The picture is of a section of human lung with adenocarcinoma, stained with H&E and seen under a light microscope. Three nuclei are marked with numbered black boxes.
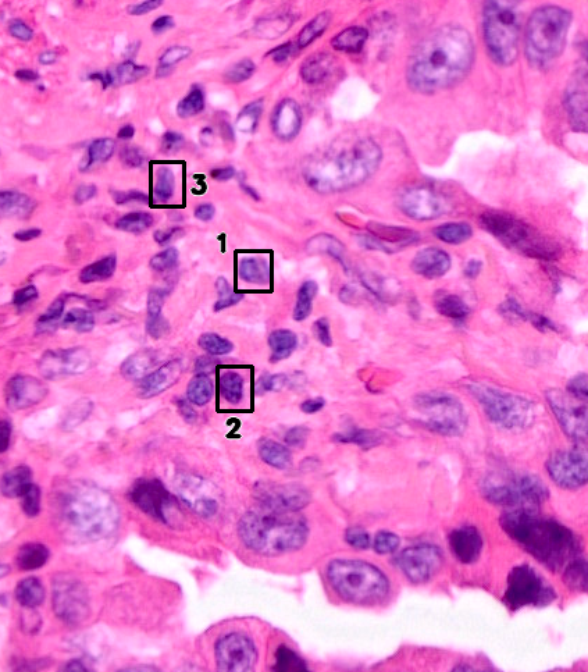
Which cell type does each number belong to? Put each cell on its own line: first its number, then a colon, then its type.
1: lymphocyte
2: plasma cell
3: lymphocyte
